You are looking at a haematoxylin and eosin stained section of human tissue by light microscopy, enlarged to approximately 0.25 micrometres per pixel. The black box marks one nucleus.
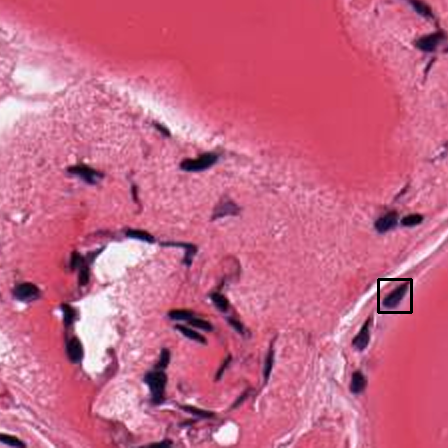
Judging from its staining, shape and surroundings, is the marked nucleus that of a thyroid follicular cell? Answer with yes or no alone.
yes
